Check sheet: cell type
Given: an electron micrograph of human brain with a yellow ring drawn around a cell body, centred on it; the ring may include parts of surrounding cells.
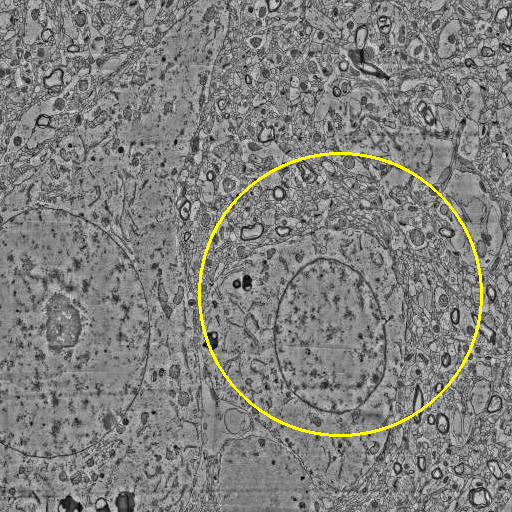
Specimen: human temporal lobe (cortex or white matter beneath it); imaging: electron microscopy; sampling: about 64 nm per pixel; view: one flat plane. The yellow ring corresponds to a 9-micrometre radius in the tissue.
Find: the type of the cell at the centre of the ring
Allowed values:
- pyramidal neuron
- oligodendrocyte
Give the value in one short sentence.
Here the ringed cell is a pyramidal neuron.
